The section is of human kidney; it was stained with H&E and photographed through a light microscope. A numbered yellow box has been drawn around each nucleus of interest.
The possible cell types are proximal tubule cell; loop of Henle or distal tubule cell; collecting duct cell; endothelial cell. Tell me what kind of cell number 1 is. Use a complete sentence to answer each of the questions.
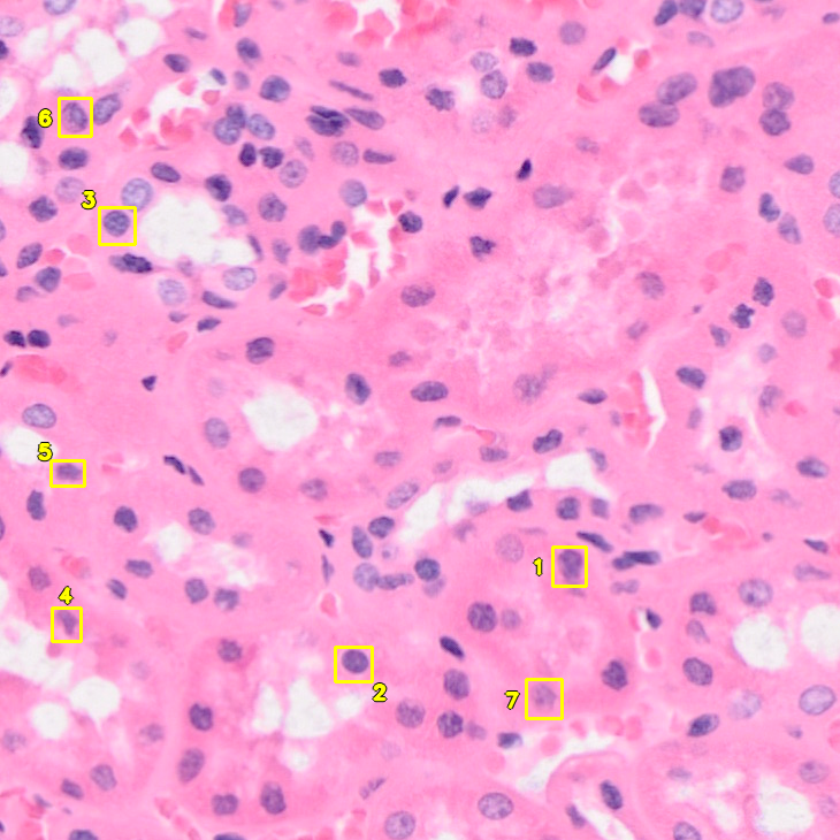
The marked cell bearing number 1 is a proximal tubule cell.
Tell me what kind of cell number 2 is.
The nucleus labelled 2 belongs to a proximal tubule cell.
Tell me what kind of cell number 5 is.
The cell referred to as 5 is a loop of Henle or distal tubule cell.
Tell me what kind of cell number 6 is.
What the number 6 marks in this field is a collecting duct cell.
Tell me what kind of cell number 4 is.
Looking at the numbered marks, cell 4 is a proximal tubule cell.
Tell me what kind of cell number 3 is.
The identity of cell 3 is that of a collecting duct cell.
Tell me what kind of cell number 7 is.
The identity of cell 7 is that of a proximal tubule cell.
